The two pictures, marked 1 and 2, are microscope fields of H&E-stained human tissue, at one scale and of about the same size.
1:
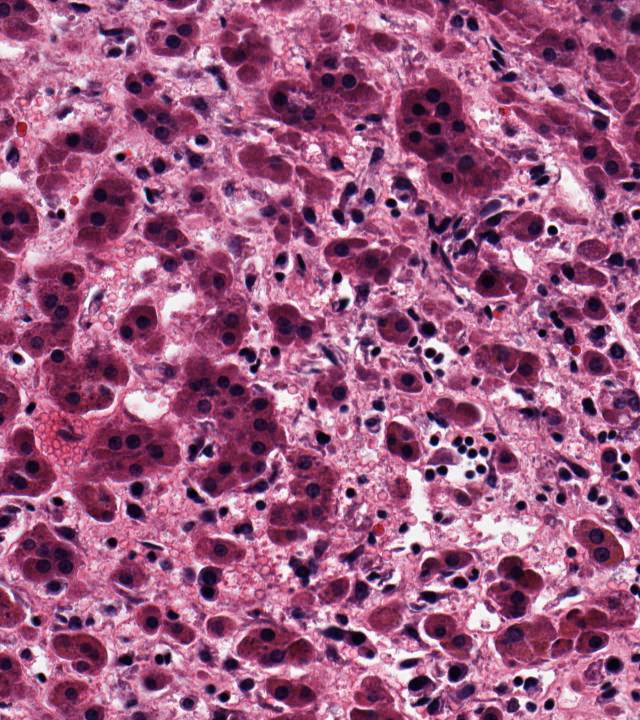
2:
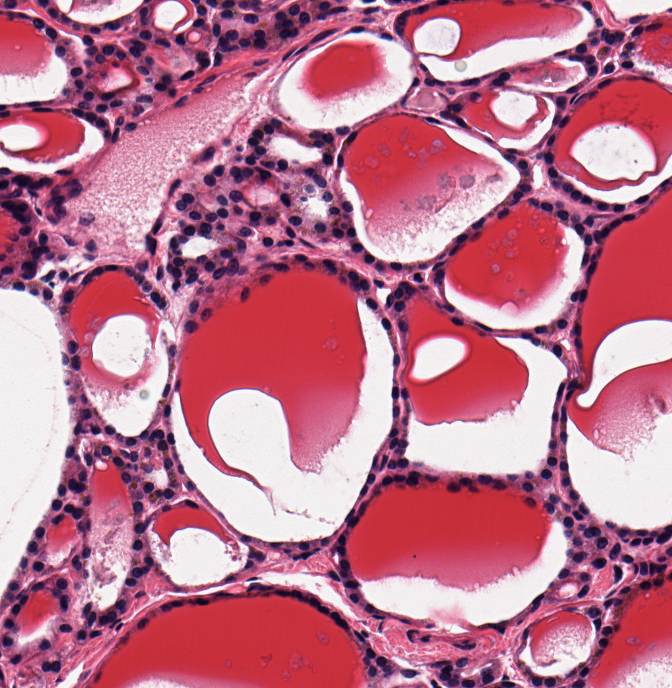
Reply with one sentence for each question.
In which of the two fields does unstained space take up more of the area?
It is field 2 in which white space covers the larger part.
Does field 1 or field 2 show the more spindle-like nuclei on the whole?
It is field 2 whose nuclei are the more elongated.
